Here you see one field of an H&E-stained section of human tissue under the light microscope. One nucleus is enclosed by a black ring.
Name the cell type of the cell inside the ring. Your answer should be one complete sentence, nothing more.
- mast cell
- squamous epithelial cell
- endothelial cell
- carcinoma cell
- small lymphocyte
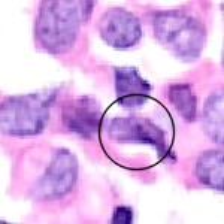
In the context of this tissue, the cell inside the ring is a carcinoma cell.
